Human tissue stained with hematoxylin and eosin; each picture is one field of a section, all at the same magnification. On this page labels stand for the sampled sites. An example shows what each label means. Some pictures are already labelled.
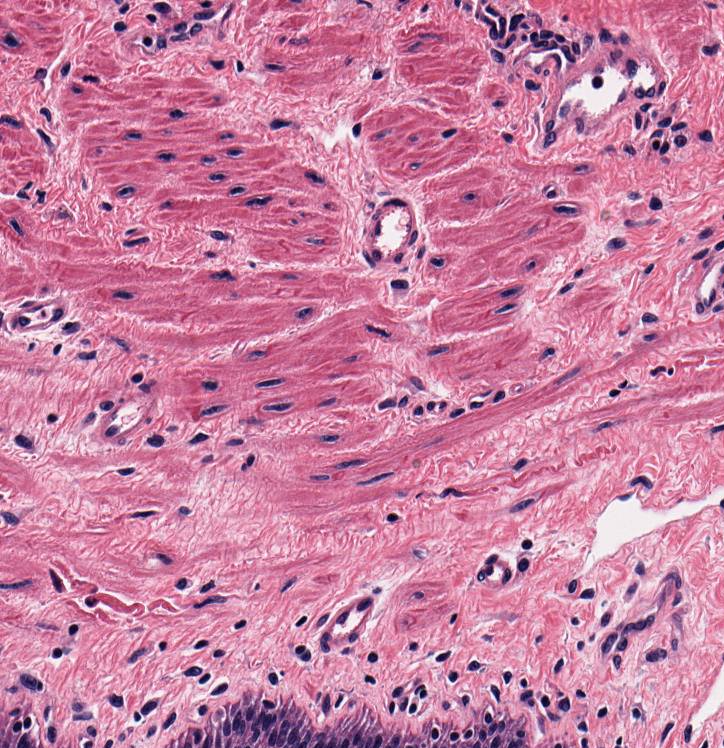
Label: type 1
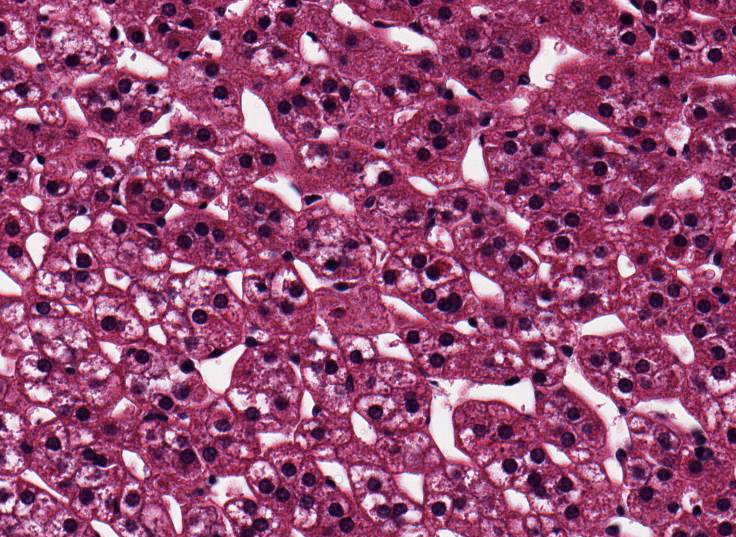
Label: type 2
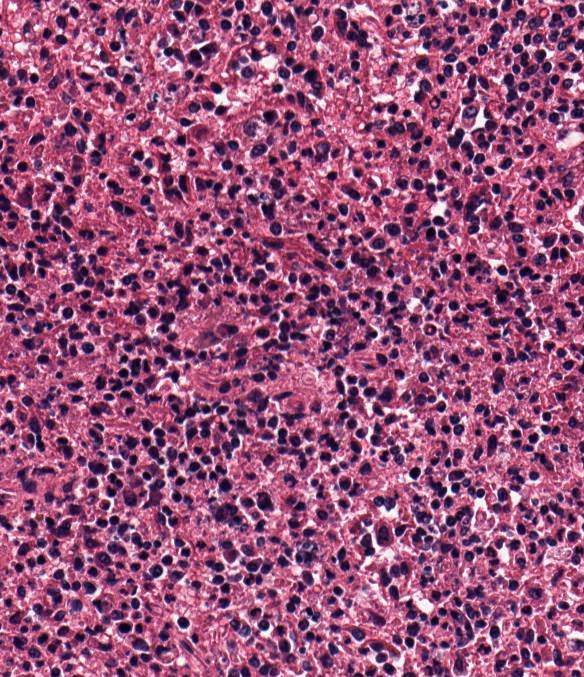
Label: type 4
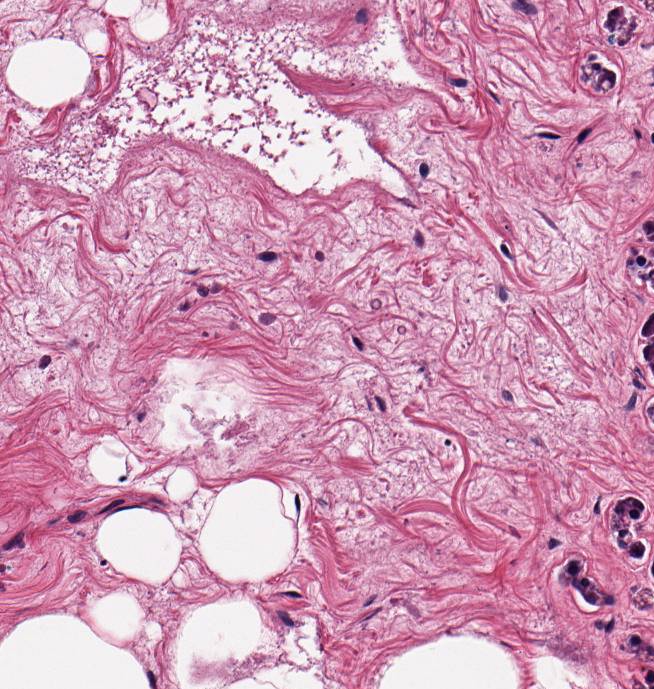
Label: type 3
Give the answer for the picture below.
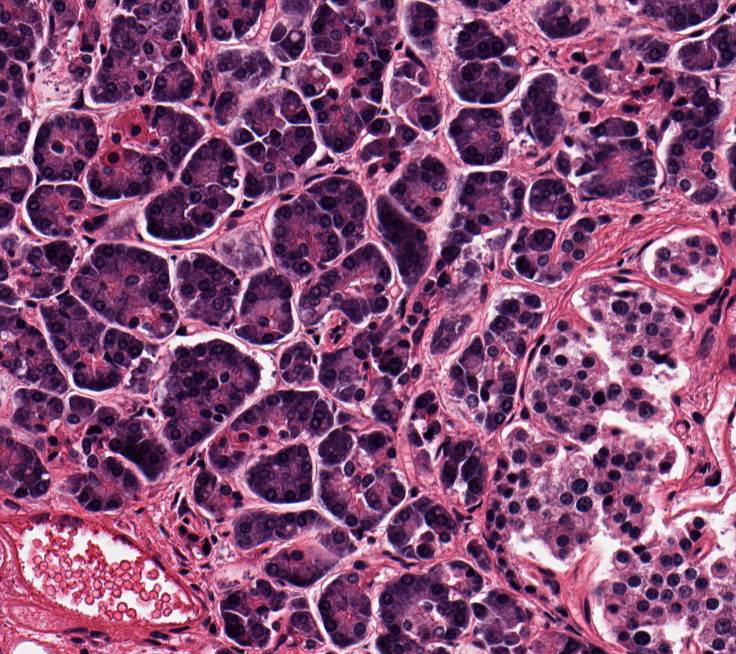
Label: type 3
